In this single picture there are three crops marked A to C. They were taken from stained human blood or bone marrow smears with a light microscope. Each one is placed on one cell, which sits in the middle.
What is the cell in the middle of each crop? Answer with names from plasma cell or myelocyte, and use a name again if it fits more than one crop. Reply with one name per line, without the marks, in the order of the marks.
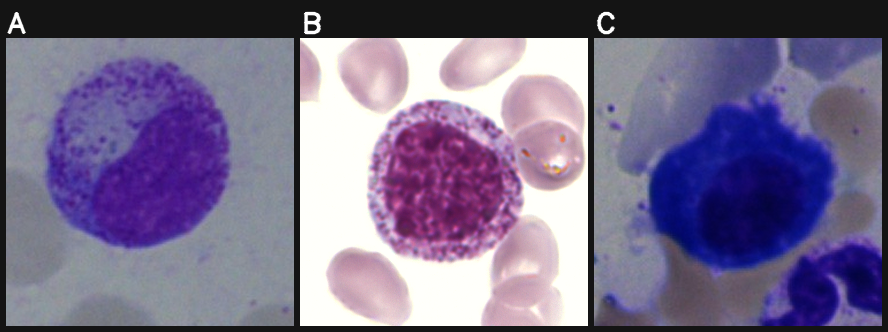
myelocyte
myelocyte
plasma cell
